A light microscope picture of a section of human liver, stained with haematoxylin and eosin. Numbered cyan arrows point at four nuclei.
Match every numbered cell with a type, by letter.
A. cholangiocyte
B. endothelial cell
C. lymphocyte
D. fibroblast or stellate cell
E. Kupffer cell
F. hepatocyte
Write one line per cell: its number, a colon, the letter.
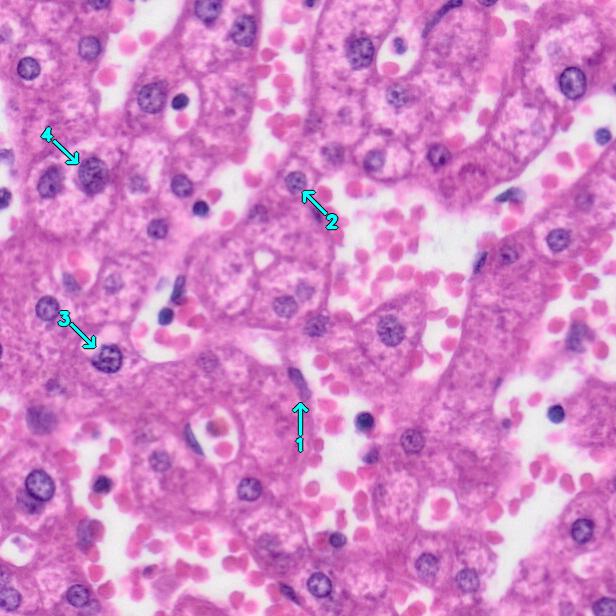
1: E
2: F
3: F
4: F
